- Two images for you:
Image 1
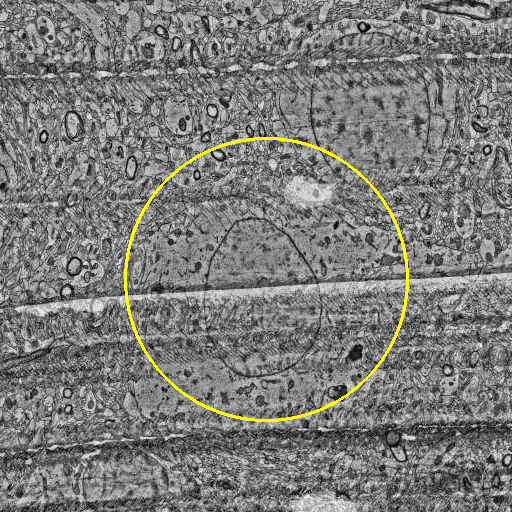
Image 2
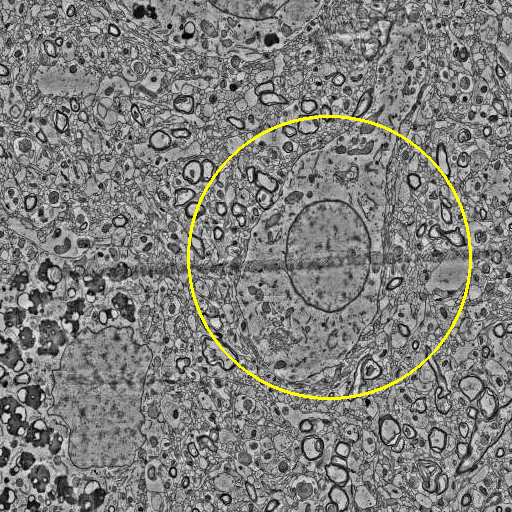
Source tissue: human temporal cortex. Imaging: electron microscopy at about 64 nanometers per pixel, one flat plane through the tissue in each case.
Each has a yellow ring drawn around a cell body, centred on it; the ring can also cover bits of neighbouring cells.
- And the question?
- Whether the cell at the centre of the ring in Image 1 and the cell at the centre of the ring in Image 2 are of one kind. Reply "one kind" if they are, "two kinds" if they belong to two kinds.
one kind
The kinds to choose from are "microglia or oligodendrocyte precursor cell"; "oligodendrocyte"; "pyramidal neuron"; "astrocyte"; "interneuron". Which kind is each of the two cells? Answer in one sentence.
In each of the two pictures, the ringed cell is a pyramidal neuron.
